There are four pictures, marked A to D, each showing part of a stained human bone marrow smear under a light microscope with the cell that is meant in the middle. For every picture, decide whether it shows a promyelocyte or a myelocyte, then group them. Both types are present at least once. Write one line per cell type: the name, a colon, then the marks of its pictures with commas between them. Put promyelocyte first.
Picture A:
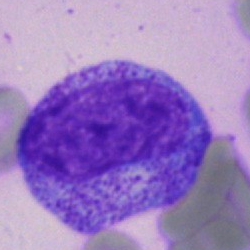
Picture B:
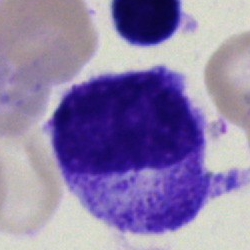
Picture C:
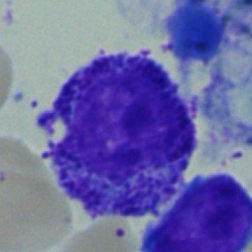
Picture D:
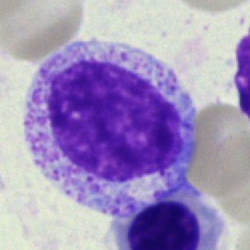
promyelocyte: B
myelocyte: A, C, D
